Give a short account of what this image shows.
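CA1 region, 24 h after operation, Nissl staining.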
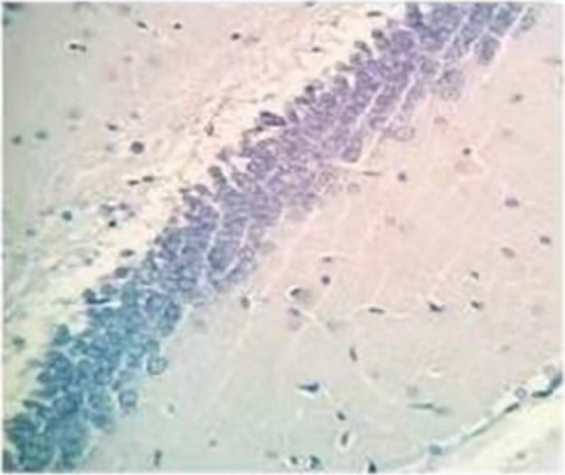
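This is the pyramidal cell layer of the hippocampus, seen as a broad diagonal band of neurons. The cell bodies are packed so tightly that they merge into a continuous dark blue-violet stripe, deepest in colour toward the lower left. Within the band you can make out many small rounded to triangular cell bodies lying side by side. On either side the tissue is pale pink-grey neuropil with only scattered small dark nuclei, likely glial cells, and a few fine vessel profiles at the lower right.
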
